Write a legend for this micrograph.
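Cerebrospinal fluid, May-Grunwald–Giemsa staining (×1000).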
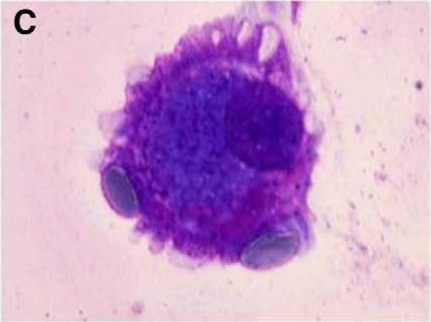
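The nucleus is pushed toward the edge of the cell rather than sitting centrally. Along the upper border the surface throws out irregular protrusions and pale rounded blebs. The two red blood cells are small smooth grey ovals with no nucleus, which help show how large this cell is.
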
